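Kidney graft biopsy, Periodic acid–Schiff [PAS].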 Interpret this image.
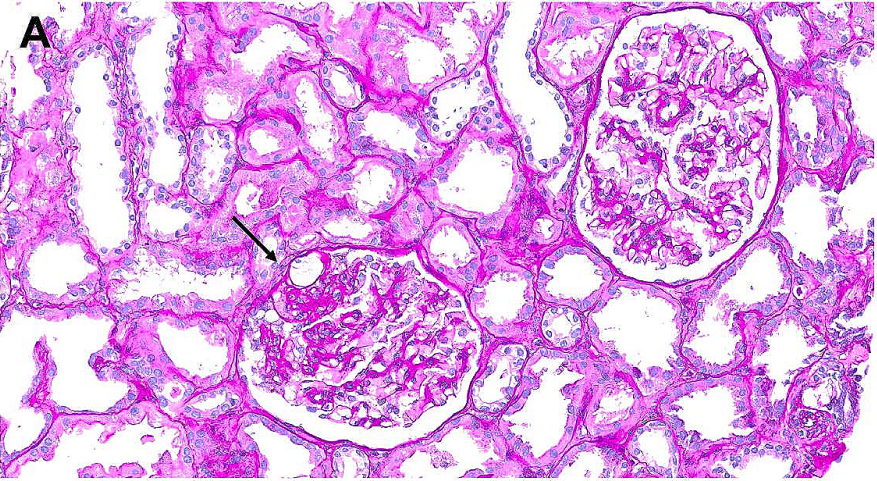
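Renal cortex with two glomeruli lying among tubules, basement membranes and mesangial matrix staining magenta. The glomerulus at lower left has a segment of its tuft consolidated by dense magenta matrix, whereas the glomerulus at upper right shows open capillary loops without such a lesion. The surrounding tubules are lined by cuboidal epithelium with blue nuclei, and the interstitium between them lacks a cellular inflammatory infiltrate.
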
